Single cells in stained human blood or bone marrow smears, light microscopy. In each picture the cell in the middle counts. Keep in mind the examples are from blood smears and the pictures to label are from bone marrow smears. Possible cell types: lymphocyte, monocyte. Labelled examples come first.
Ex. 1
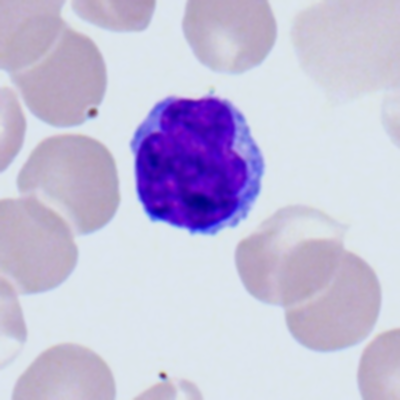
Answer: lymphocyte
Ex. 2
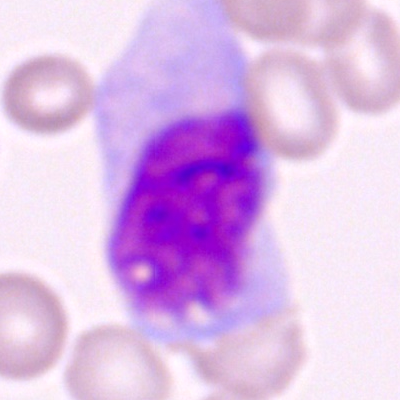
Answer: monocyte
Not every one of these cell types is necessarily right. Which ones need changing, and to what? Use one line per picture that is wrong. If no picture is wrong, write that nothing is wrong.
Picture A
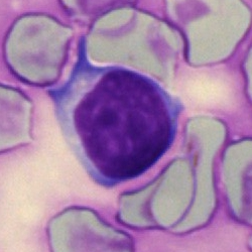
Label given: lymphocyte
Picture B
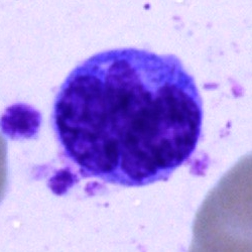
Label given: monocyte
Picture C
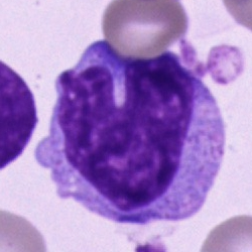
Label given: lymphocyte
C: monocyte, not lymphocyte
